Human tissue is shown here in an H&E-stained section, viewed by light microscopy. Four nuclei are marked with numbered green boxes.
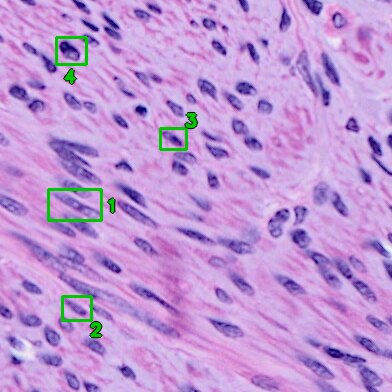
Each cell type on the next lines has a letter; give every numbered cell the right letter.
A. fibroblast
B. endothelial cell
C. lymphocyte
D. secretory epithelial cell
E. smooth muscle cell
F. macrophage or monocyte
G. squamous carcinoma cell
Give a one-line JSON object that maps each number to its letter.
{"1": "E", "2": "E", "3": "E", "4": "C"}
